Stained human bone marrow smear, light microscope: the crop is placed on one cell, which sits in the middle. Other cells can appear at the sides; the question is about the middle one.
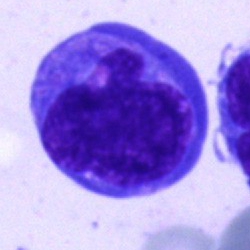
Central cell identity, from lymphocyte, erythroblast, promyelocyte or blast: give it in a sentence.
Here the centrally located cell is a blast.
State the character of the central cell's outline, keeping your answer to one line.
Nothing juts out from the margin, which is smooth throughout.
